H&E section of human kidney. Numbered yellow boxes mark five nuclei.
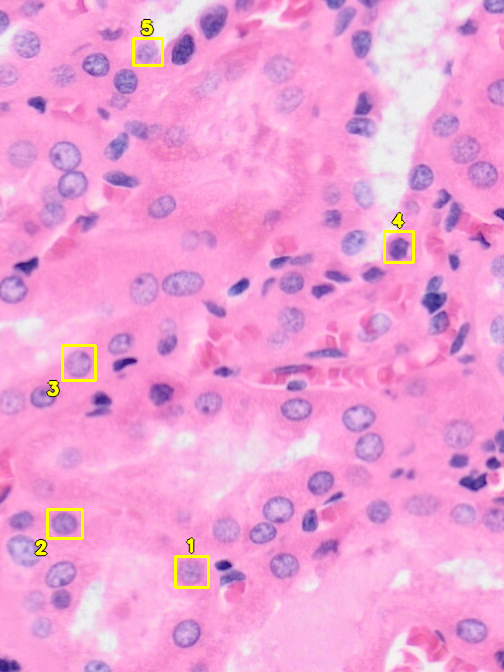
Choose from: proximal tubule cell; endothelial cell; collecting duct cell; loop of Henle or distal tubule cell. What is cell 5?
loop of Henle or distal tubule cell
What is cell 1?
proximal tubule cell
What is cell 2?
proximal tubule cell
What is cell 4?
loop of Henle or distal tubule cell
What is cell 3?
proximal tubule cell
